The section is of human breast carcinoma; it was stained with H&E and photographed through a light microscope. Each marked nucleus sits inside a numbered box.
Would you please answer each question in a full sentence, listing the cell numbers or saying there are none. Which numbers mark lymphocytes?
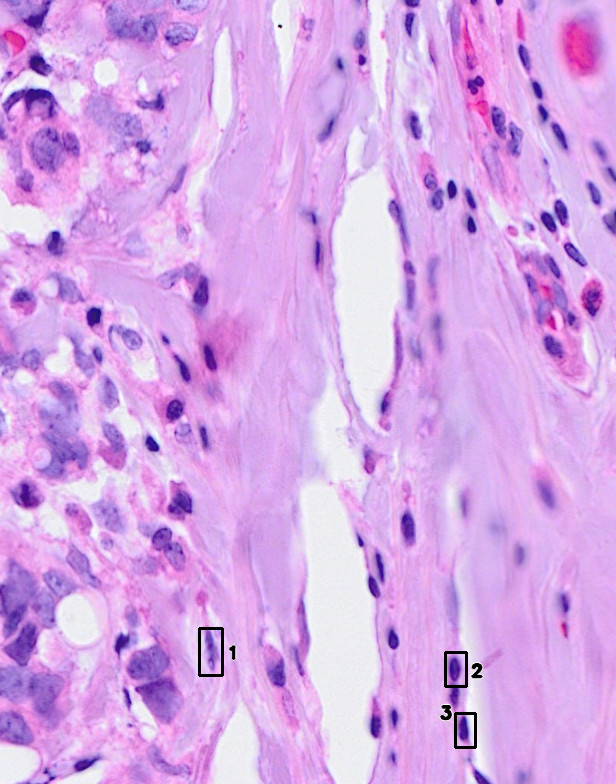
The cells shown with numbers 2 and 3 are lymphocytes.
